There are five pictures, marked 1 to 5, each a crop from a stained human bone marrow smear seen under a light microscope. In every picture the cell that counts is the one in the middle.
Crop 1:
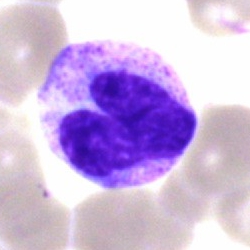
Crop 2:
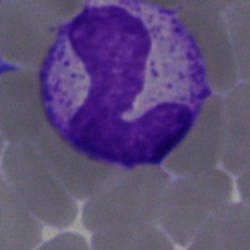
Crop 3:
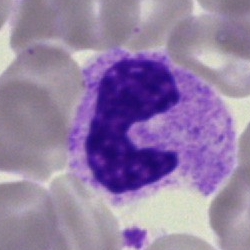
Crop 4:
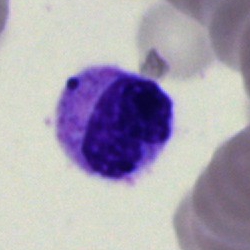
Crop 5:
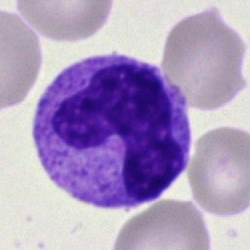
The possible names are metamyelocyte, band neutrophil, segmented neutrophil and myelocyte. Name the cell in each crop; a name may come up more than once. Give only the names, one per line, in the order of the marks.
band neutrophil
band neutrophil
band neutrophil
metamyelocyte
band neutrophil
